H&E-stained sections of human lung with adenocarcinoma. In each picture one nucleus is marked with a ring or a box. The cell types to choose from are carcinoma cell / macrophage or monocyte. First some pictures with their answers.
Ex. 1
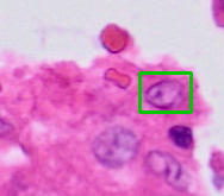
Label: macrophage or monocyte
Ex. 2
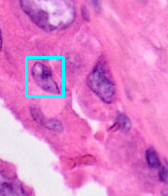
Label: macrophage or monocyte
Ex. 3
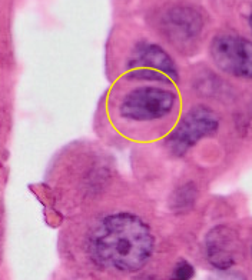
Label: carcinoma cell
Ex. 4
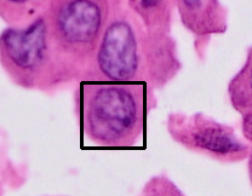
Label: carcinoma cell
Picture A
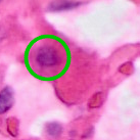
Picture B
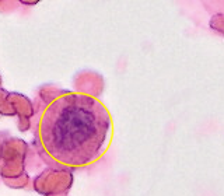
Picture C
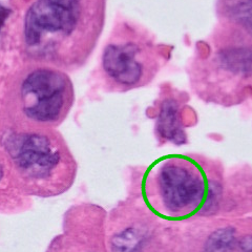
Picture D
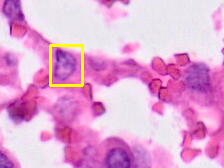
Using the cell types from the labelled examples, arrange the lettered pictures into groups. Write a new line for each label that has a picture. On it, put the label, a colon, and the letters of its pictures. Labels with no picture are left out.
carcinoma cell: C
macrophage or monocyte: A, B, D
